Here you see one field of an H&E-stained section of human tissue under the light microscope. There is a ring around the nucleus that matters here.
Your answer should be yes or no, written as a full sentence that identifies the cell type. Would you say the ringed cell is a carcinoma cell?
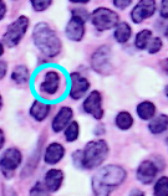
No, sorry, but the ringed cell is a lymphocyte and not a carcinoma cell.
